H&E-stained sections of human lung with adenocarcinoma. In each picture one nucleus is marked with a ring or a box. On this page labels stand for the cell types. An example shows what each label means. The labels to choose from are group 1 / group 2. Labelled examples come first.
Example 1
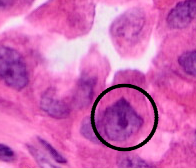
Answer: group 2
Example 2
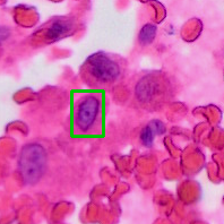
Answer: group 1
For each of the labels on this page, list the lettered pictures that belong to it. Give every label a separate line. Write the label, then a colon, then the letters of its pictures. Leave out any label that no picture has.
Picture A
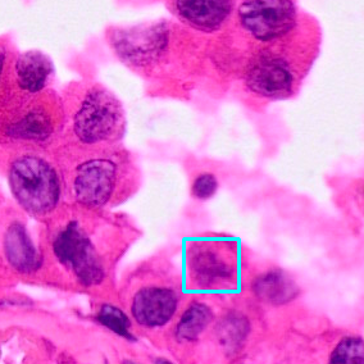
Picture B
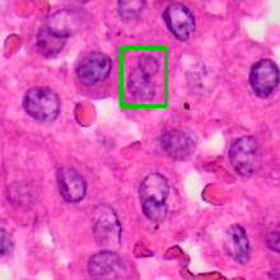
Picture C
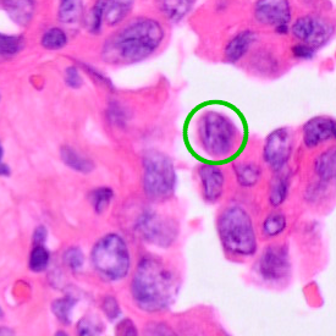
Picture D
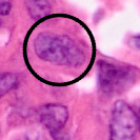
group 1: B
group 2: A, C, D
